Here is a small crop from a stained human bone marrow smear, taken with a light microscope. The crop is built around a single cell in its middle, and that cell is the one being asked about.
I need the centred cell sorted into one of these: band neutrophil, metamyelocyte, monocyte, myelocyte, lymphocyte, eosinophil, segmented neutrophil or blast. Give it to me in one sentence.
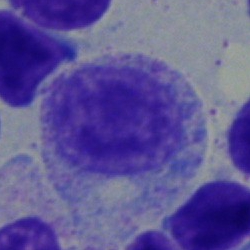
The cell in the middle of this crop is a myelocyte.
